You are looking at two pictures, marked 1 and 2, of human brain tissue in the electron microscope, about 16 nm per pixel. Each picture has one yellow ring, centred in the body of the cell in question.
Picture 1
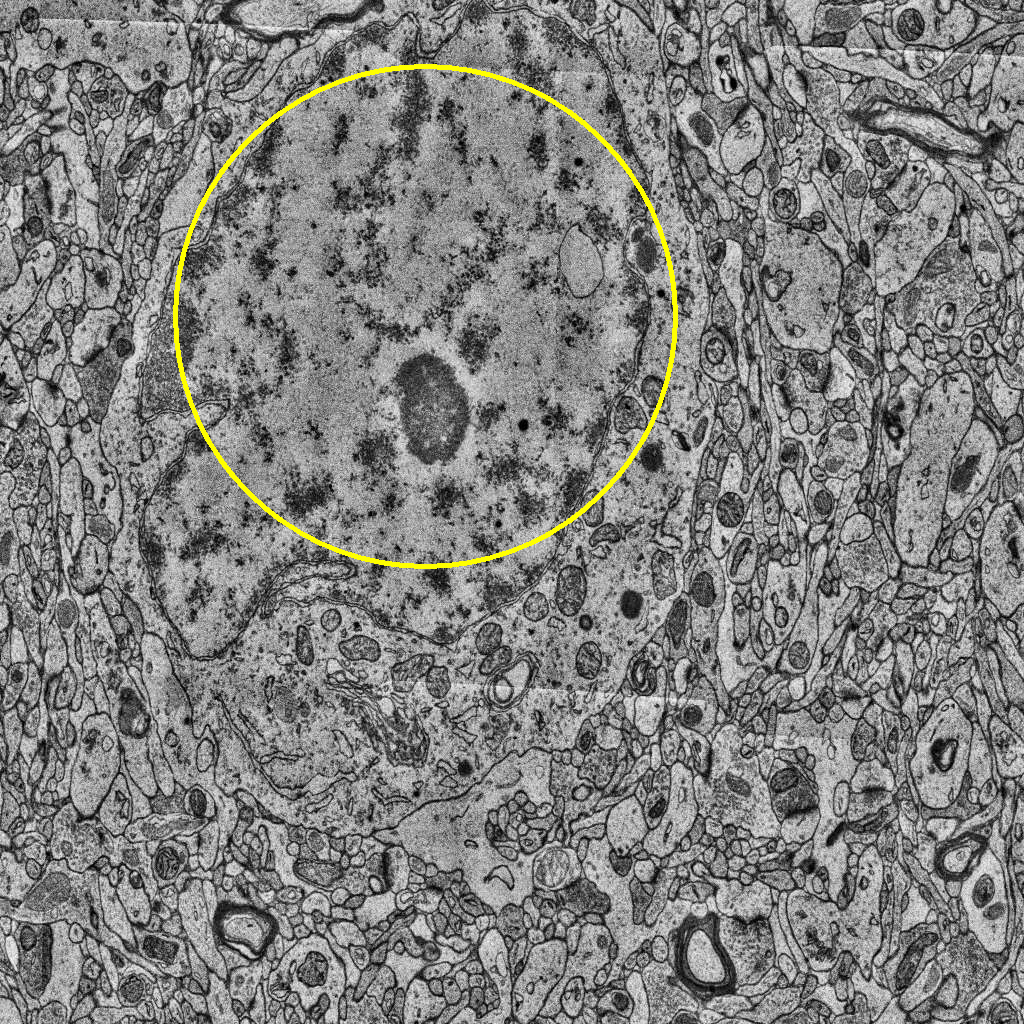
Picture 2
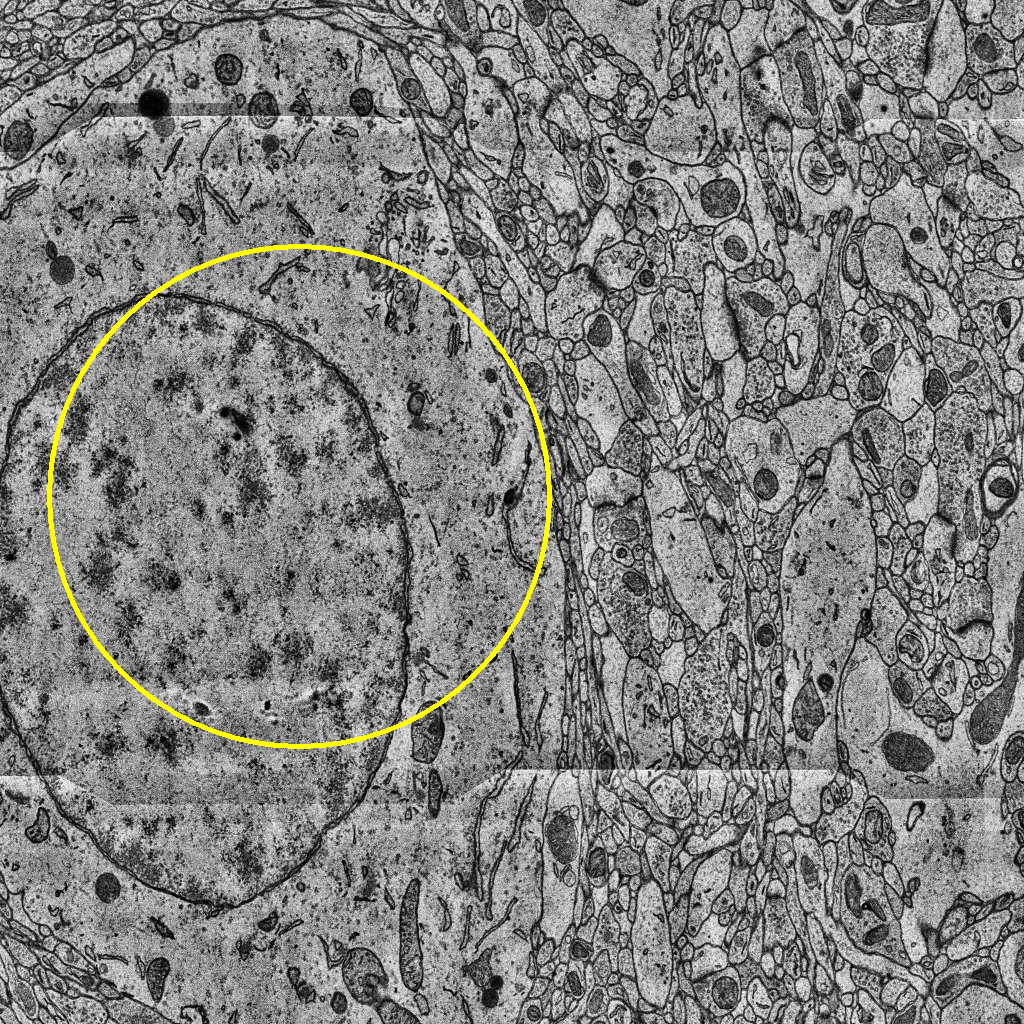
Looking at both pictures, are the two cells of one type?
No, picture 1 shows an interneuron and picture 2 shows a pyramidal neuron.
